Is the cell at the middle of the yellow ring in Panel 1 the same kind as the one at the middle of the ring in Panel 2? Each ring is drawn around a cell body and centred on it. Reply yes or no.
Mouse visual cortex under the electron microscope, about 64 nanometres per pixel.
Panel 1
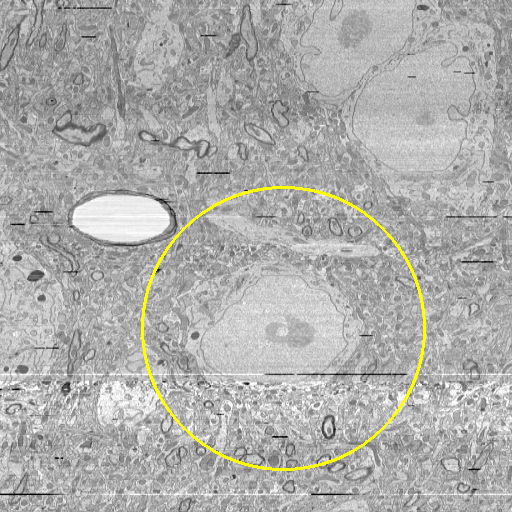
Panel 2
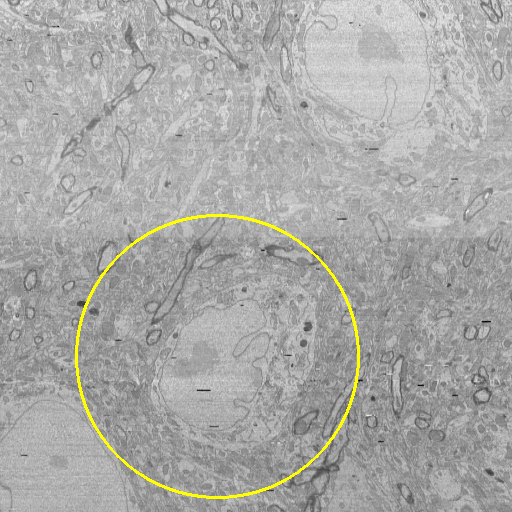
no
